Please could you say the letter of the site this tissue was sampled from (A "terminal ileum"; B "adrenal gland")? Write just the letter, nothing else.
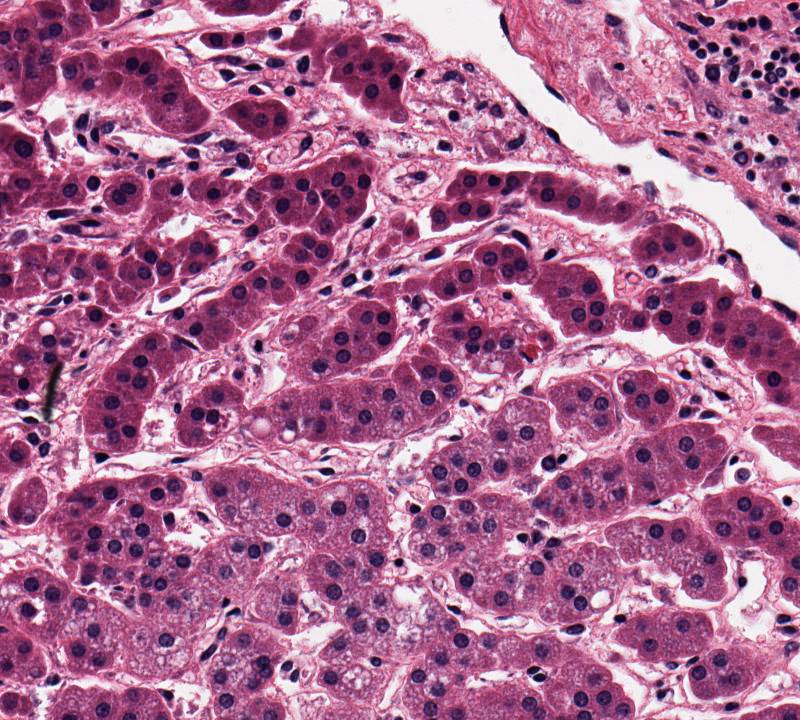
B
